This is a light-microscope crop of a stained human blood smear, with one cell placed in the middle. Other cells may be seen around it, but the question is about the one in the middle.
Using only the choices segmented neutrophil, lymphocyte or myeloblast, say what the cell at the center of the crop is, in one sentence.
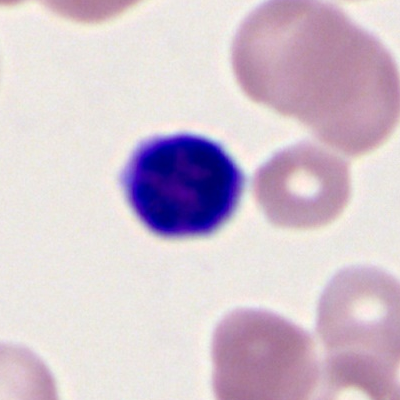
Answering briefly, the cell in the middle is a lymphocyte.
